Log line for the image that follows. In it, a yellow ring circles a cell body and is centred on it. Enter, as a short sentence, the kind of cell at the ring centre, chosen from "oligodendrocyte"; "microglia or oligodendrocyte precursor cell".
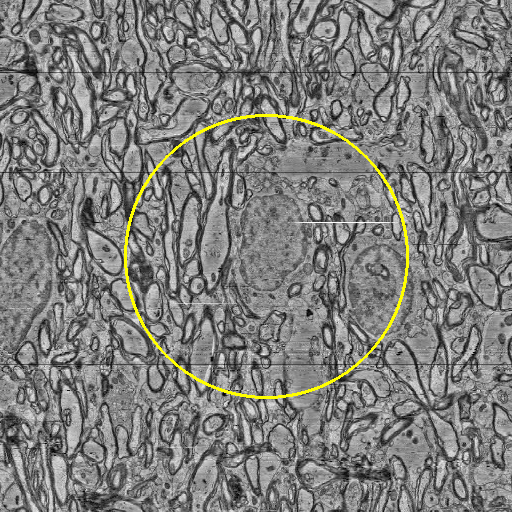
The ring centre is occupied by an oligodendrocyte.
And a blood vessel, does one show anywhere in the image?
No, there is no blood vessel in the image.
